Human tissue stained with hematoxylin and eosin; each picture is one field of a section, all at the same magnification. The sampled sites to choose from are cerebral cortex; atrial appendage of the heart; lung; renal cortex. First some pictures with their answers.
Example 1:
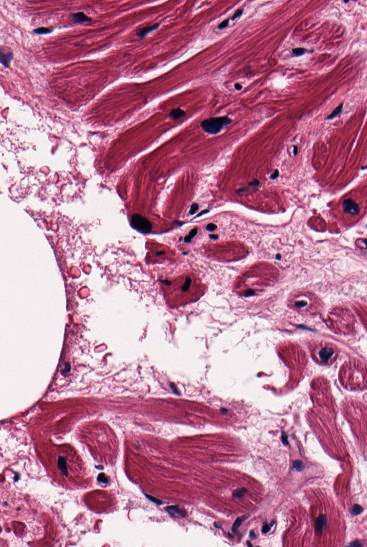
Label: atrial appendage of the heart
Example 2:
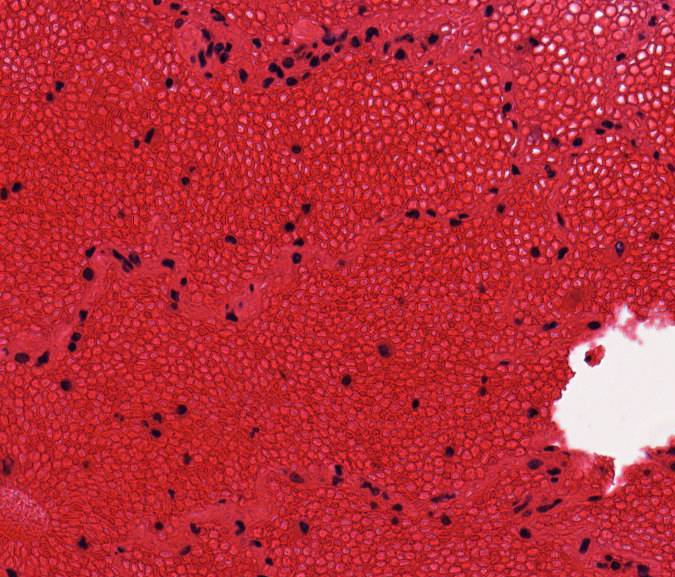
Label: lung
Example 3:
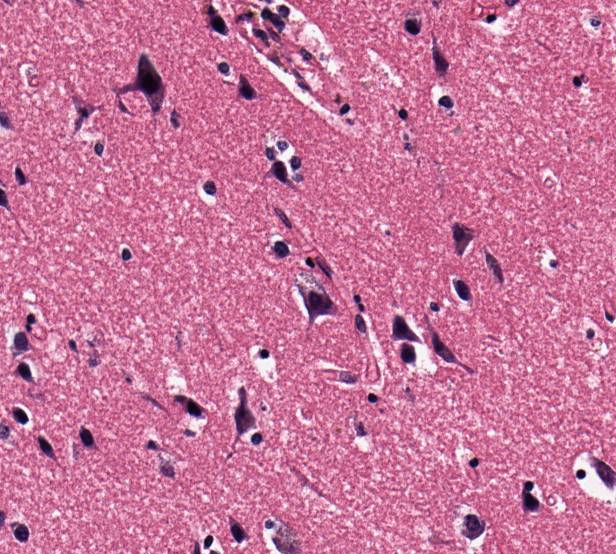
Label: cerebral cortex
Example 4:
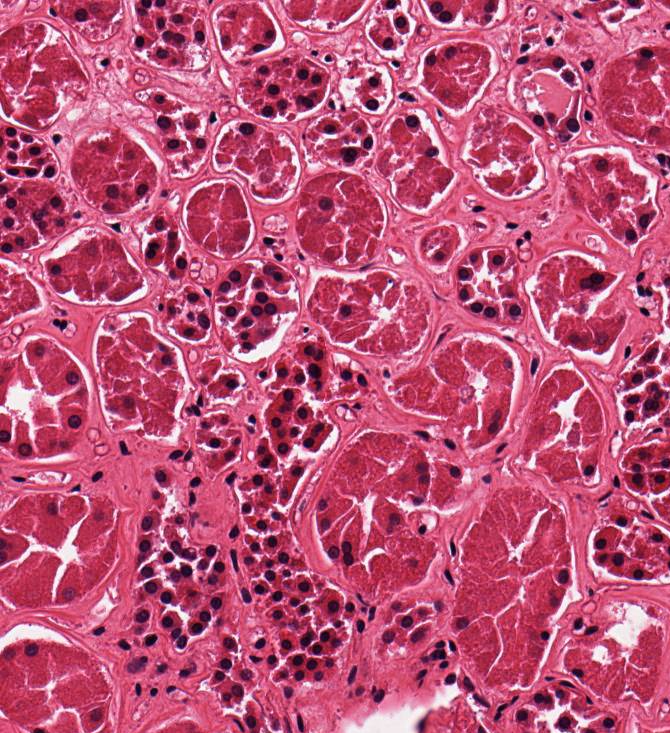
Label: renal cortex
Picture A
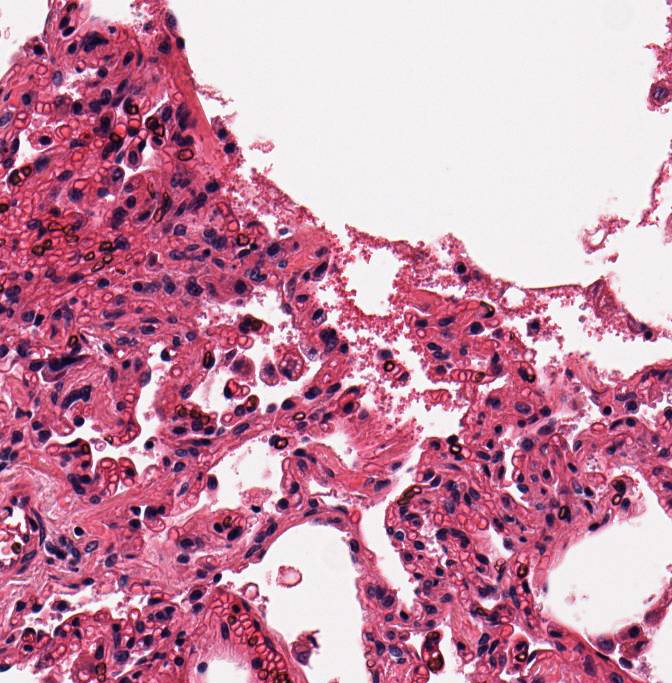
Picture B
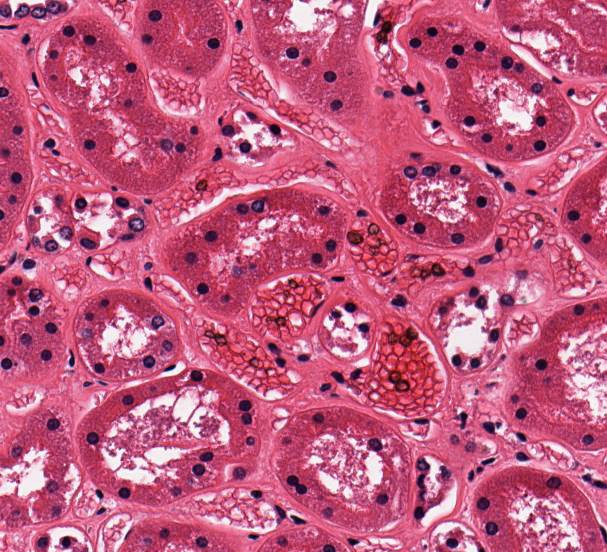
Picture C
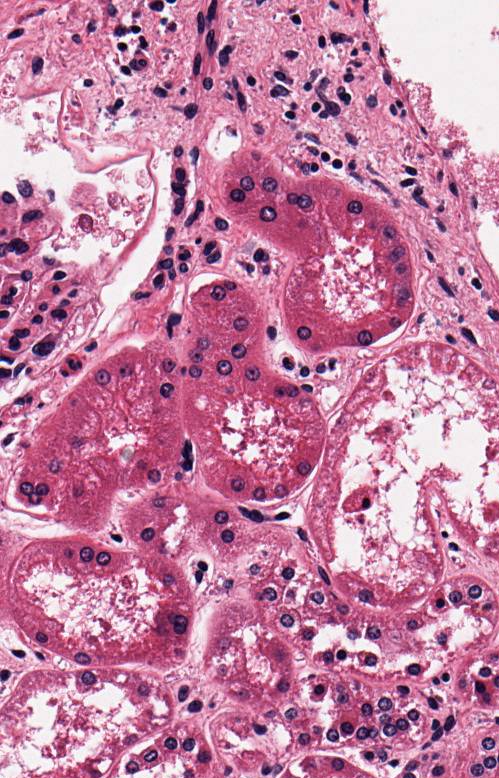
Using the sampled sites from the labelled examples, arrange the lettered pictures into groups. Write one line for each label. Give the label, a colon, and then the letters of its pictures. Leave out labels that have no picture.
lung: A
renal cortex: B, C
